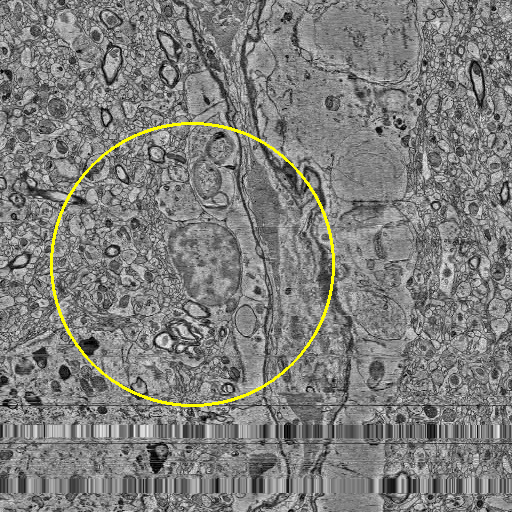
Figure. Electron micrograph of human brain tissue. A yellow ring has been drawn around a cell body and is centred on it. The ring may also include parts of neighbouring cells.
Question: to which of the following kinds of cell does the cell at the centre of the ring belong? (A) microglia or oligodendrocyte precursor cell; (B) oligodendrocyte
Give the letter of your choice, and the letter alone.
B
